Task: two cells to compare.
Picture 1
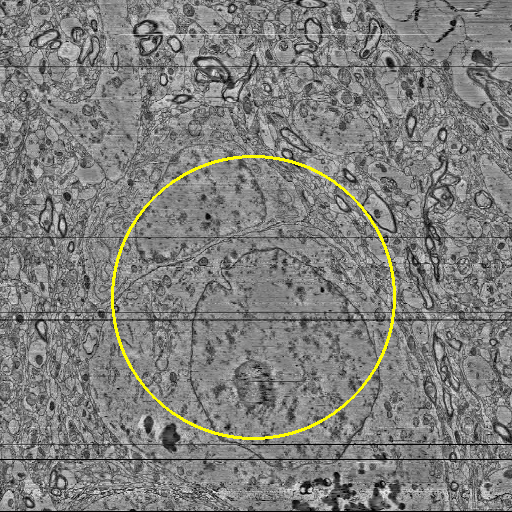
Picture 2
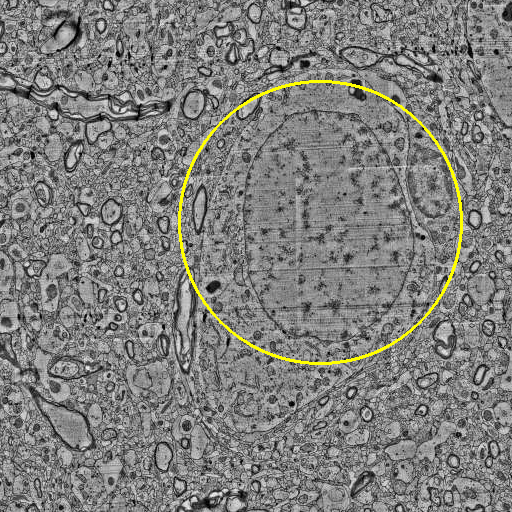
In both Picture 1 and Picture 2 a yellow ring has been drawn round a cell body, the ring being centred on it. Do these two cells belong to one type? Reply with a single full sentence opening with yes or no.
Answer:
Yes, the two cells at the ring centres in Picture 1 and Picture 2 share one type.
